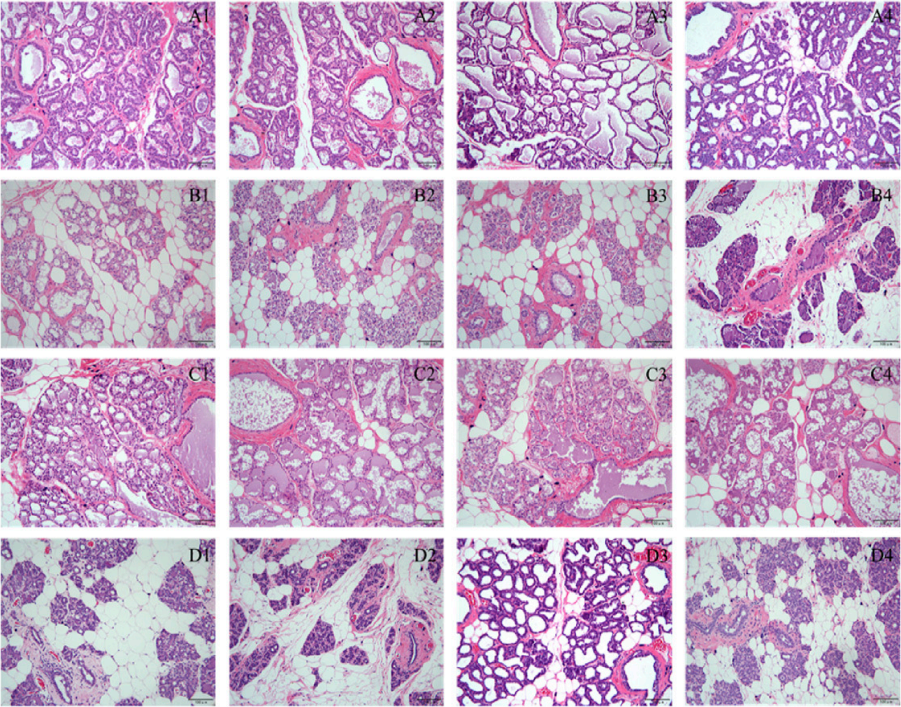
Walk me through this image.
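This is a grid of sections of mammary gland tissue stained with hematoxylin and eosin. Glandular tissue forms lobules of rounded alveoli lined by epithelial cells with purple nuclei. In the top row the lobules are densely packed and fill most of the field, with little fat between them, and many alveoli have open lumens, some holding pale pink material. Ducts surrounded by pink fibrous connective tissue run between the lobules in several of the images.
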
